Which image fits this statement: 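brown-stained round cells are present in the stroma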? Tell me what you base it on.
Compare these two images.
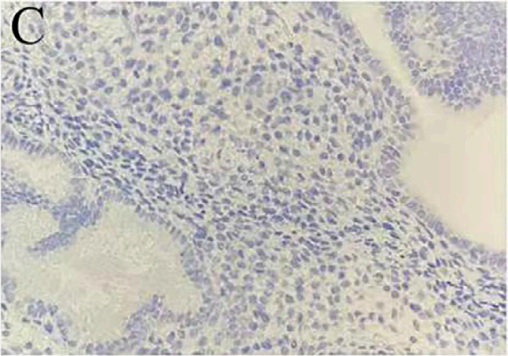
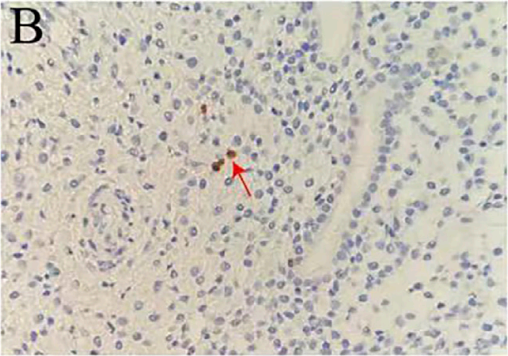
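The second image. First image: the stroma shows only blue nuclei, no brown cells. Second image: a small cluster of brown-stained round cells lies in the stroma.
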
